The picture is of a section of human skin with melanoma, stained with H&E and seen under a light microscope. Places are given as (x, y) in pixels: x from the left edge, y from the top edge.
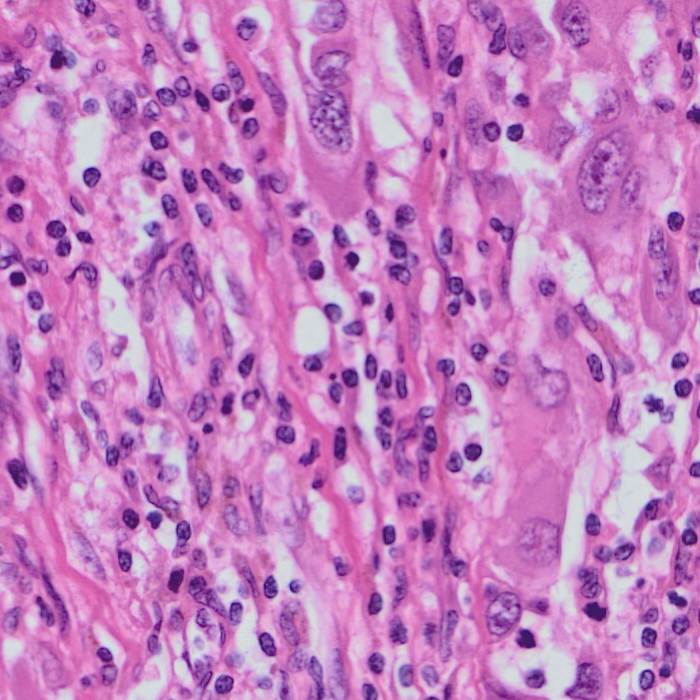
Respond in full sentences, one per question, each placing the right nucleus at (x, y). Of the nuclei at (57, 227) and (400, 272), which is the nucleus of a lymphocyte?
The nucleus that sits at (57, 227) is the nucleus of a lymphocyte.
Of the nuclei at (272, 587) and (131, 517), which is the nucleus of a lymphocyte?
Answering which nucleus it is: the one at (272, 587), belonging to a lymphocyte.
